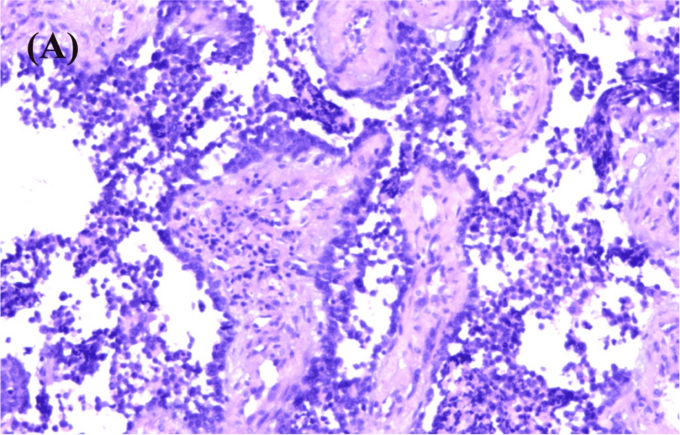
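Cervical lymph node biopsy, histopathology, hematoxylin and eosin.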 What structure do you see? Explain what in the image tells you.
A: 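Pink bands of fibrous tissue run between the groups of dark cells. Some pink bands contain small vessel lumens. Dense clusters of small dark-nucleated cells lie between the pink bands.
Conclusion: fibrovascular septa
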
